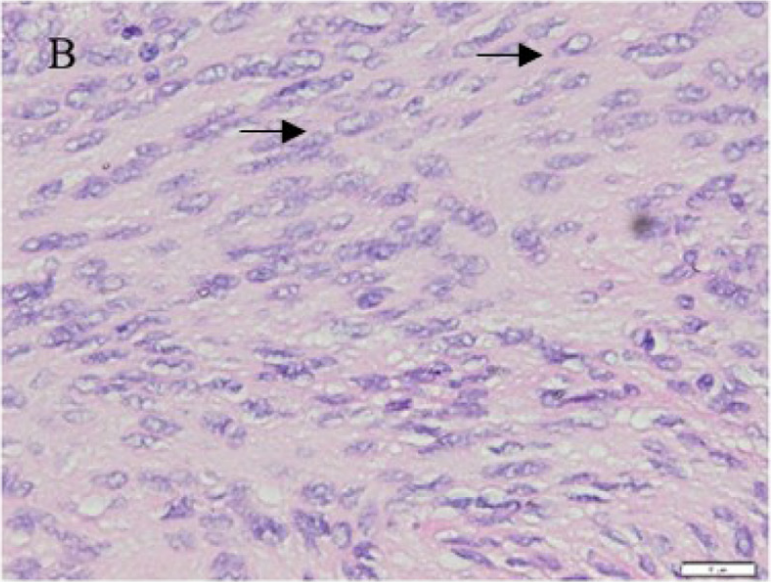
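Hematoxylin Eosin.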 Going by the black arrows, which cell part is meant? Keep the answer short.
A: Pseudo-inclusions.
